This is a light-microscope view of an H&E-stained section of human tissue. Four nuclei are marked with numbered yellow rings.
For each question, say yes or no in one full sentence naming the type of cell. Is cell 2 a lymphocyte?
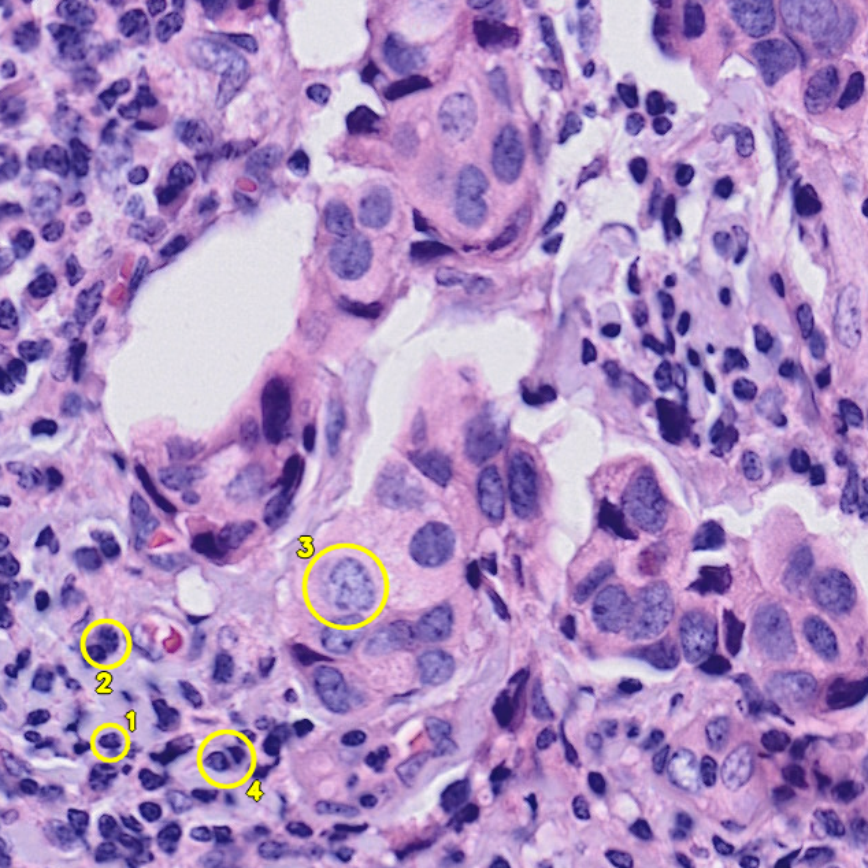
Yes, the cell that goes by number 2 is a lymphocyte.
